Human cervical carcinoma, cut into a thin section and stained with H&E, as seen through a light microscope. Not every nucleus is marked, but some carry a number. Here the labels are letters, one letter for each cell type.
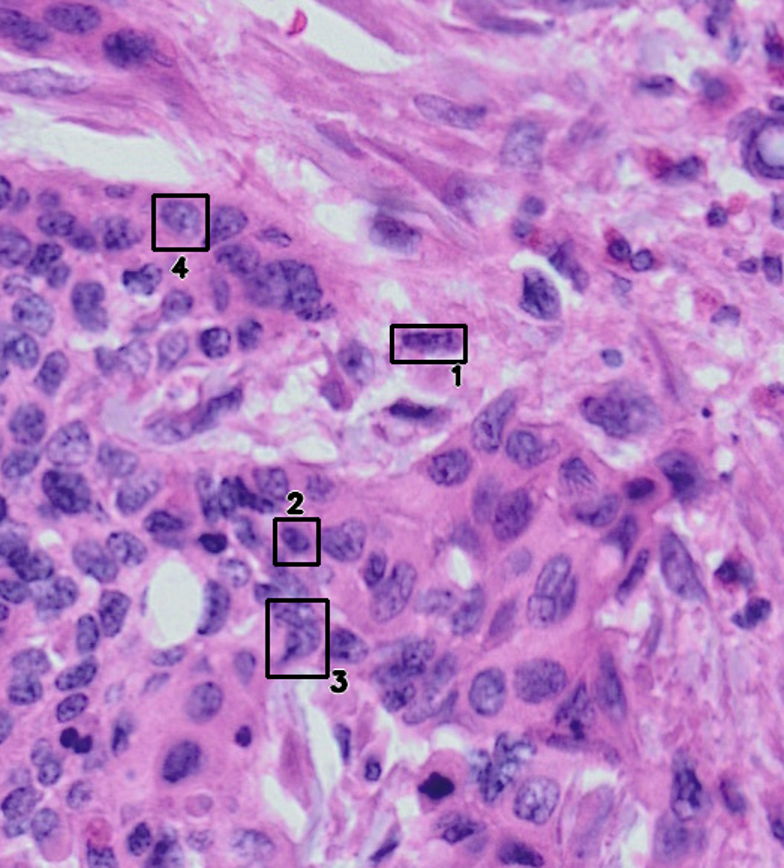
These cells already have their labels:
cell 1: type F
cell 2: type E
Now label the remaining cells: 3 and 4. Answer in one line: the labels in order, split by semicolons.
type E; type E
